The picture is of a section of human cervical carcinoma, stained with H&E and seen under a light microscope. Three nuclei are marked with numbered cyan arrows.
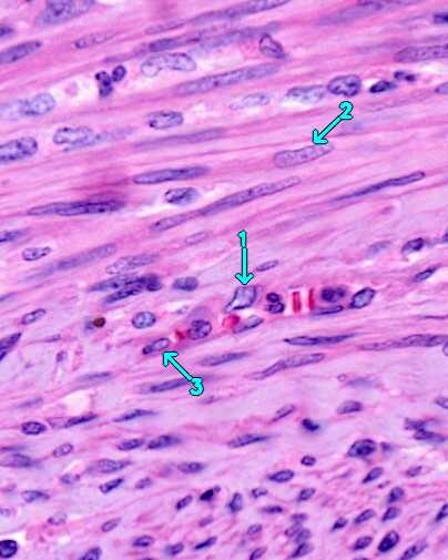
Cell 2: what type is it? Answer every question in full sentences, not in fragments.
Cell 2 is classified as a smooth muscle cell.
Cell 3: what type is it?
Heads up, the cell numbered 3 is an endothelial cell.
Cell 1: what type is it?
In the marked set, the cell given number 1 is an endothelial cell.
